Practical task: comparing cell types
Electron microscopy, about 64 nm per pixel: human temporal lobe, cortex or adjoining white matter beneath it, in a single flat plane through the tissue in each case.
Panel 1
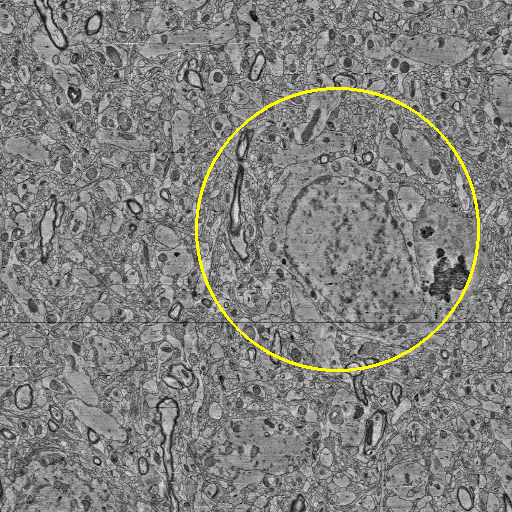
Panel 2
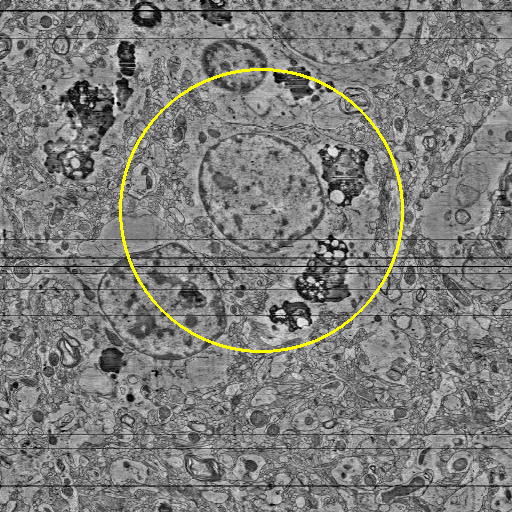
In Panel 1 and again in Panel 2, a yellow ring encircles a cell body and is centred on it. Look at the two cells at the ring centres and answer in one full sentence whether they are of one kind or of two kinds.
The two cells sitting at the ring centres of Panels 1 and 2 are of two kinds.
